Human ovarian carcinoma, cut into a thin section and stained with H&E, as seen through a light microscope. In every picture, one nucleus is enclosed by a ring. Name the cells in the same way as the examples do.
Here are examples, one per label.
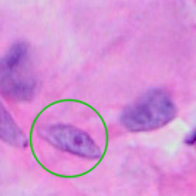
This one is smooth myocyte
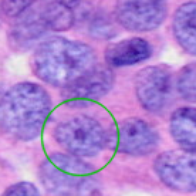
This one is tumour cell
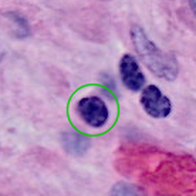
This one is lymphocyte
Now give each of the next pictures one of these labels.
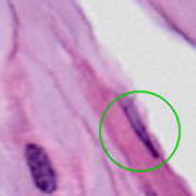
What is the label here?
smooth myocyte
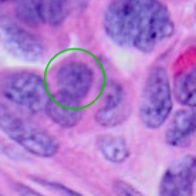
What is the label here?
tumour cell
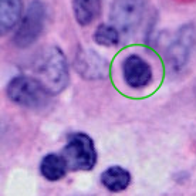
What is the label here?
lymphocyte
